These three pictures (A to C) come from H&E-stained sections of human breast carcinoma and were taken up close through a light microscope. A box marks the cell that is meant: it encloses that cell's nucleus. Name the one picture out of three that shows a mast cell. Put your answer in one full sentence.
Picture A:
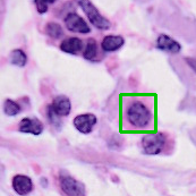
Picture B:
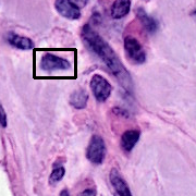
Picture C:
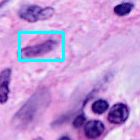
Picture A shows the mast cell.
